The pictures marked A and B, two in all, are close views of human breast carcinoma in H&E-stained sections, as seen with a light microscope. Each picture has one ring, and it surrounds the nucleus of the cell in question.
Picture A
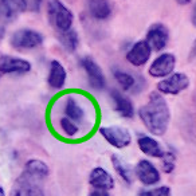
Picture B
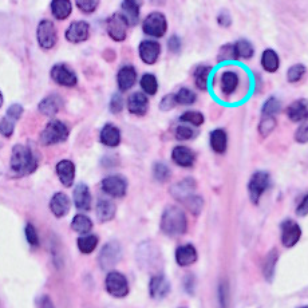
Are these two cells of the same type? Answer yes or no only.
yes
